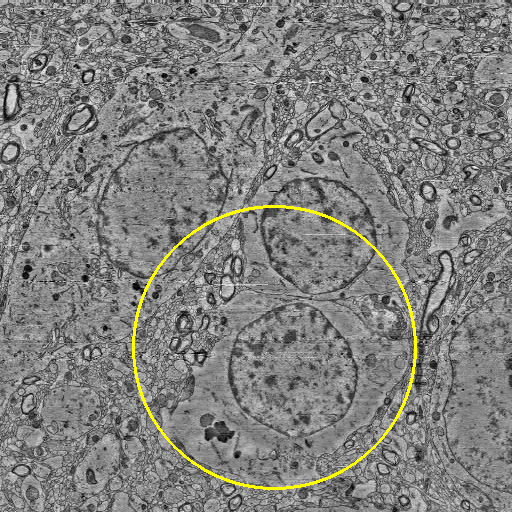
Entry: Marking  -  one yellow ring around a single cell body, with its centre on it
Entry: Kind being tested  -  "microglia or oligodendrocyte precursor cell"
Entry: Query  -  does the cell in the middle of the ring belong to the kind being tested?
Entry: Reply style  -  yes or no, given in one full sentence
No, the centred cell within the ring in the picture belongs to a different kind.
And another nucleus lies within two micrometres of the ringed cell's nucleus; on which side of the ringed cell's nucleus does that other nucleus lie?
The second nucleus sits above it.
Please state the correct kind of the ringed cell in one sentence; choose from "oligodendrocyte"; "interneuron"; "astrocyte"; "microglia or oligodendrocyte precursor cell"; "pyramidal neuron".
The cell enclosed by the ring is an astrocyte.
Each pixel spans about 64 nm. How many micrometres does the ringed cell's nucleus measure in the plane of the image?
The nucleus of the ringed cell is approximately 9 micrometres across in this plane.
